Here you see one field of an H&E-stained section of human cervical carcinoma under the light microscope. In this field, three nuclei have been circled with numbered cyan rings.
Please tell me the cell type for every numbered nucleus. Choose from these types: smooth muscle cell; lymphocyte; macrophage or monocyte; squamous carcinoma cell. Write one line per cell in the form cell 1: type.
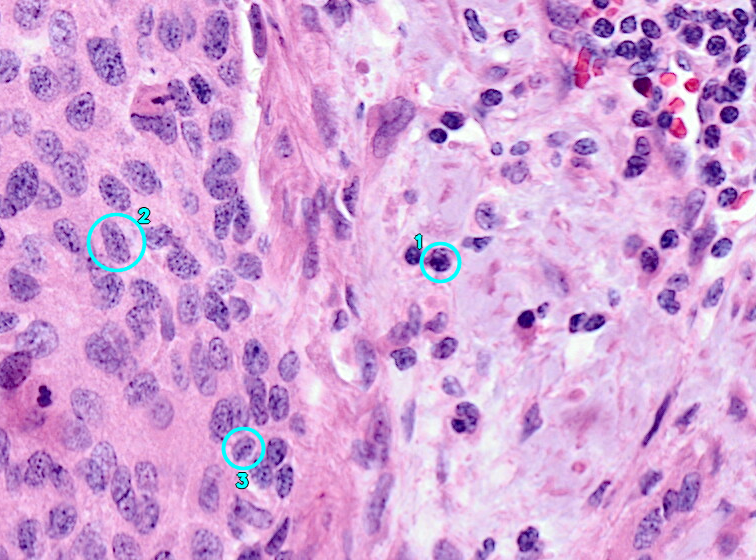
cell 1: lymphocyte
cell 2: squamous carcinoma cell
cell 3: squamous carcinoma cell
